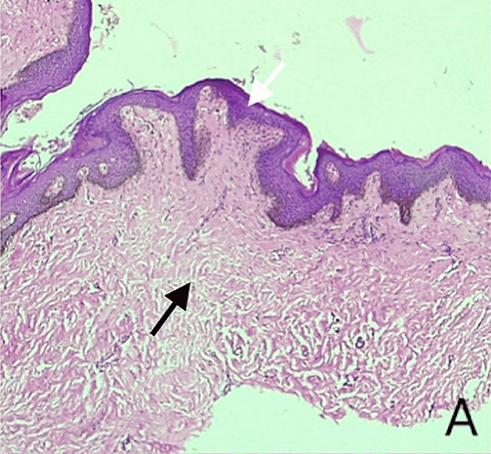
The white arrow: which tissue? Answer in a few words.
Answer: Hyperkeratotic, acanthotic epidermis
